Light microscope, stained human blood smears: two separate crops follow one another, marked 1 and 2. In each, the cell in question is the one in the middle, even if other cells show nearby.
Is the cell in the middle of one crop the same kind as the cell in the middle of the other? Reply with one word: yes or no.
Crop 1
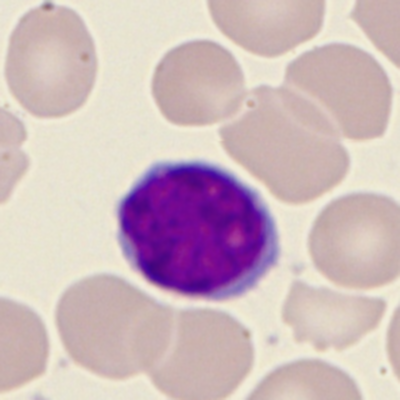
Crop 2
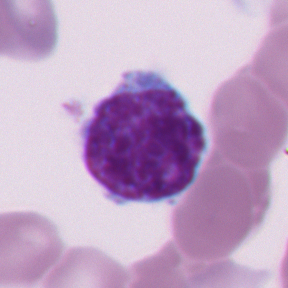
yes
